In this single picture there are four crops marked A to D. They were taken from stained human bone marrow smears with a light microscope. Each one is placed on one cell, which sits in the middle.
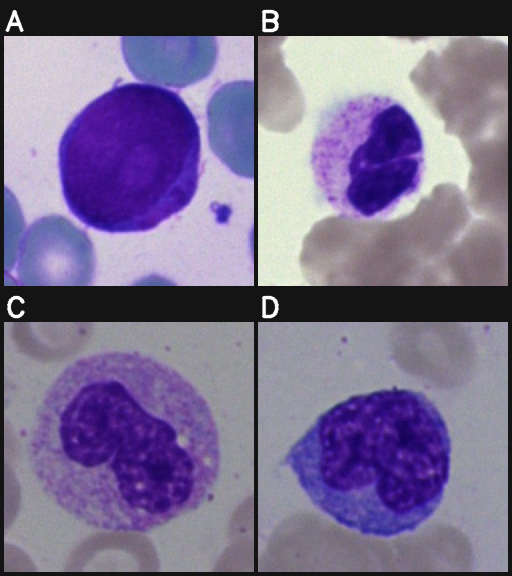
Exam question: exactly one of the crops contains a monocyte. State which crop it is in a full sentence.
Among all the crops given here, the one with a monocyte is crop D.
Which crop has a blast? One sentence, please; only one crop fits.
The crop showing a blast in this series is crop A.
